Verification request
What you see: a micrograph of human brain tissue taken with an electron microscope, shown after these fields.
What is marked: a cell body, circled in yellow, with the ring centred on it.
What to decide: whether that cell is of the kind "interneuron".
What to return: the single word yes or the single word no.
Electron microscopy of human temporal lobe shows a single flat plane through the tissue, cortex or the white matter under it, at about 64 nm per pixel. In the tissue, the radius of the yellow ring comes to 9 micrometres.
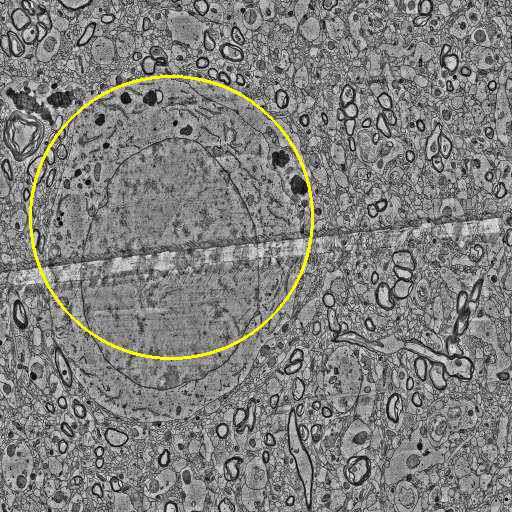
no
